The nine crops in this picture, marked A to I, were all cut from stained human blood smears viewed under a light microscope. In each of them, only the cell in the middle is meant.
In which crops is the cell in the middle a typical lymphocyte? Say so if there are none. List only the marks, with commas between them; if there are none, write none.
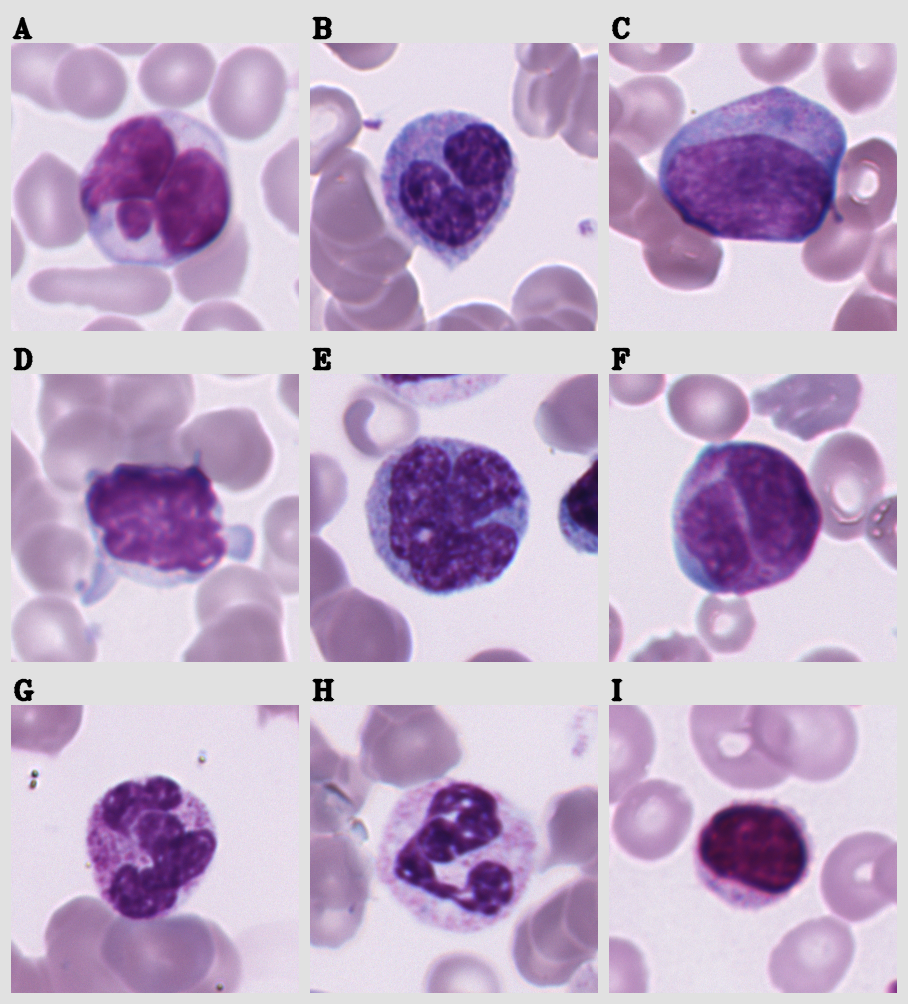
none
